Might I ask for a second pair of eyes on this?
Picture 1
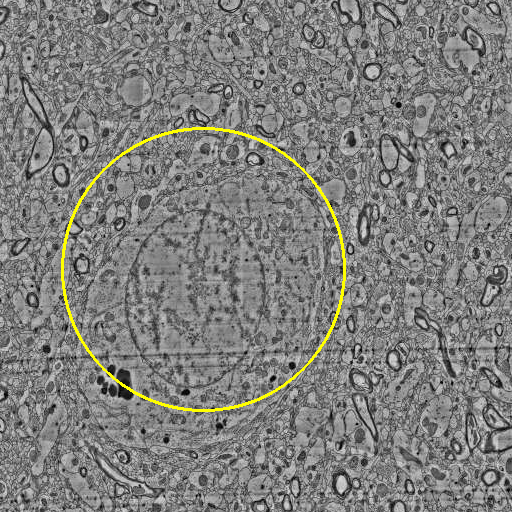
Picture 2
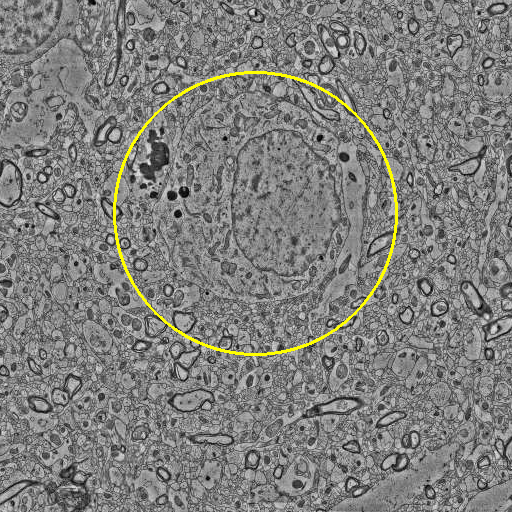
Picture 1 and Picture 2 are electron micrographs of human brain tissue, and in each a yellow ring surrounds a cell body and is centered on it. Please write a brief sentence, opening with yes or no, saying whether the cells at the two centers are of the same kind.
Yes, the cells are of the same kind.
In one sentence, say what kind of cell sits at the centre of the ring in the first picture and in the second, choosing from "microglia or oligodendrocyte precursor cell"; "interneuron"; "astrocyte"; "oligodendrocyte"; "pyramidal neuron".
In the first picture and in the second, the ring is centred on an interneuron.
